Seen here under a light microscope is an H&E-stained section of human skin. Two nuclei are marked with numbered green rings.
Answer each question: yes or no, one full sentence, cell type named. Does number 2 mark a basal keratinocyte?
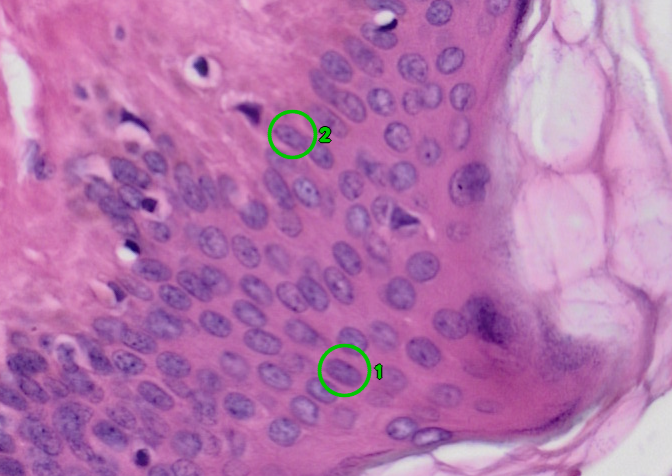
Yes, the cell shown as number 2 is a basal keratinocyte.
